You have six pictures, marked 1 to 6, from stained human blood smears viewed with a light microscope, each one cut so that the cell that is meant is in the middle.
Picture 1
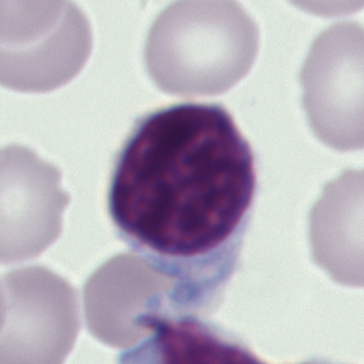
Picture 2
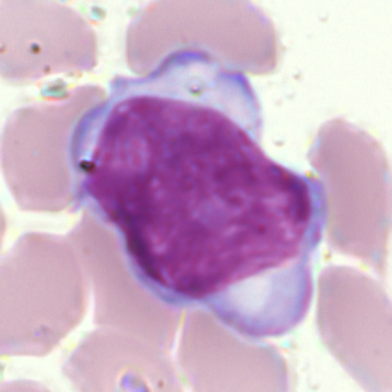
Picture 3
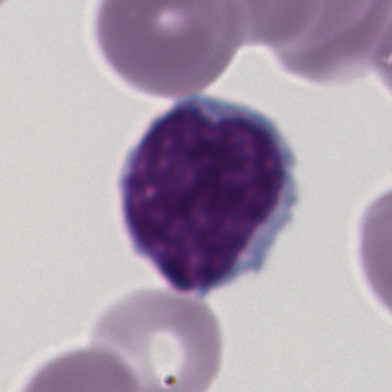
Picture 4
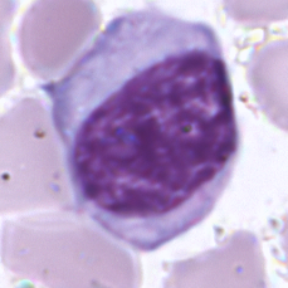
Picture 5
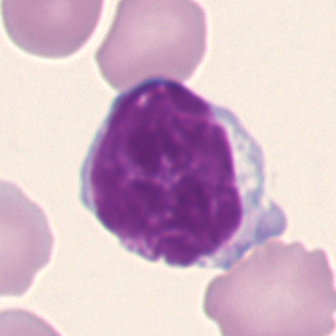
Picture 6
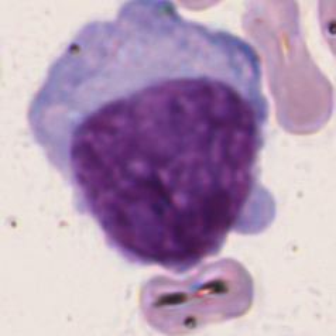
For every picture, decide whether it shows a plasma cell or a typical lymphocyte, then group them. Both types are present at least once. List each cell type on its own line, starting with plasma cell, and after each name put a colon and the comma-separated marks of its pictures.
plasma cell: 2, 4, 6
typical lymphocyte: 1, 3, 5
